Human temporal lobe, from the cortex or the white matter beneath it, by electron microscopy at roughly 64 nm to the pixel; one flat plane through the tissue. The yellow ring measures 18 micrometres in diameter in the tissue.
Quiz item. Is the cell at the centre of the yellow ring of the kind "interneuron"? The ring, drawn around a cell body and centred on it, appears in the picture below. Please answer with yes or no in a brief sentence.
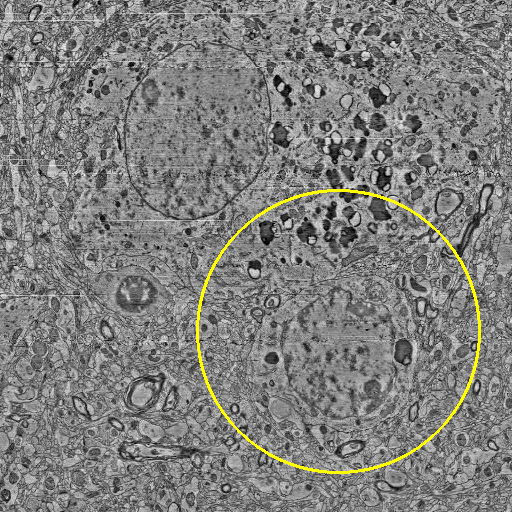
Yes, it is that kind of cell.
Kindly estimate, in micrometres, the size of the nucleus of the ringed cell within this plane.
About 9 by 8 micrometres in this plane.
